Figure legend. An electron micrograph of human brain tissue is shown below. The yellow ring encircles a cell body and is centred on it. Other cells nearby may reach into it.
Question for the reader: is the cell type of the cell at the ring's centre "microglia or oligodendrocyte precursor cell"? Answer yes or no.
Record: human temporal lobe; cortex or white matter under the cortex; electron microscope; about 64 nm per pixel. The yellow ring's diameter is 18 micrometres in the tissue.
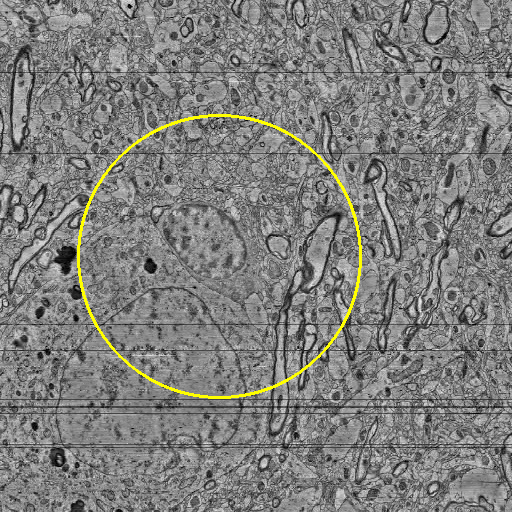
no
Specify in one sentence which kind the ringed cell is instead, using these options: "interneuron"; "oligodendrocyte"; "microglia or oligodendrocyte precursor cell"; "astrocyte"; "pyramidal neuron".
The cell enclosed by the ring is an oligodendrocyte.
